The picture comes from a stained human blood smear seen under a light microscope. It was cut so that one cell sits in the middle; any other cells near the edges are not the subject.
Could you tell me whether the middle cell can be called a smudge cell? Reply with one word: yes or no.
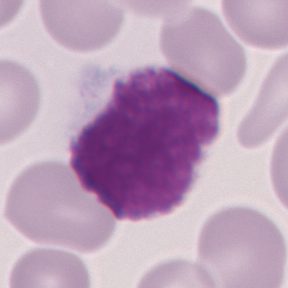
yes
